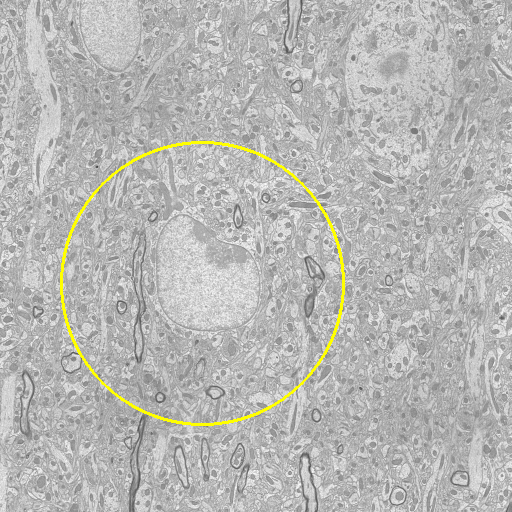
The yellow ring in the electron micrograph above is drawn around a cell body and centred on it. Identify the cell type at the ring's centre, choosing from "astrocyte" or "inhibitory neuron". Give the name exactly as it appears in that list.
astrocyte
